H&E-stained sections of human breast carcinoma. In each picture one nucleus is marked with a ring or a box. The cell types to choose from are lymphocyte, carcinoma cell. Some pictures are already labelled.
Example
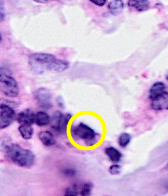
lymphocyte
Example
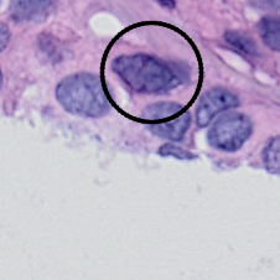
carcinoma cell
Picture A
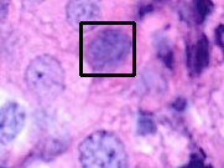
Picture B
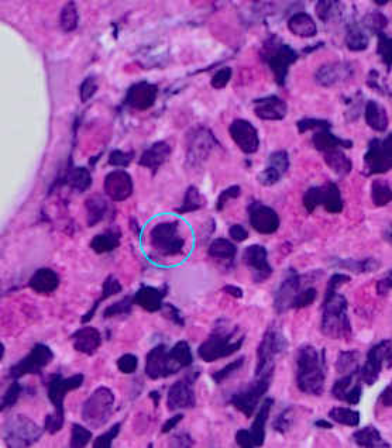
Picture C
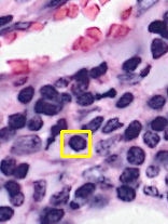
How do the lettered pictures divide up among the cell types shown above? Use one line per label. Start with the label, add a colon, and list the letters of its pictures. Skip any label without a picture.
lymphocyte: C
carcinoma cell: A, B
